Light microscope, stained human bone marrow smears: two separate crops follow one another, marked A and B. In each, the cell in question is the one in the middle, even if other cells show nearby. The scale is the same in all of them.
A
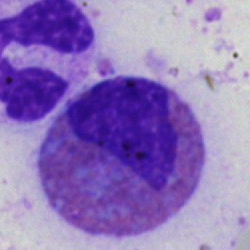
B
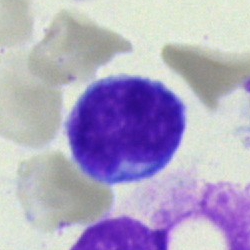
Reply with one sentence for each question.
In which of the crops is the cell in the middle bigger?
Larger is the cell in crop A, at roughly 2 times the area of the other.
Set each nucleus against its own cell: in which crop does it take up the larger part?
In crop B the nucleus takes up the larger part of its cell.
